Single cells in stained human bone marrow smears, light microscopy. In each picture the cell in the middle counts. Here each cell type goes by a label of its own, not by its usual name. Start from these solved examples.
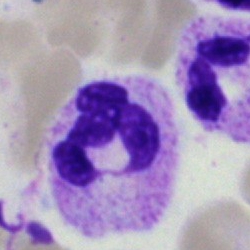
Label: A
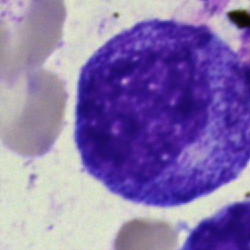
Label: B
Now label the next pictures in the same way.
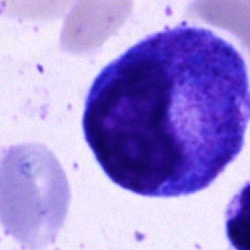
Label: B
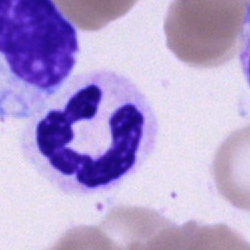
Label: A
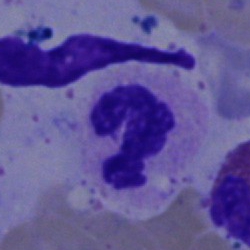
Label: A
